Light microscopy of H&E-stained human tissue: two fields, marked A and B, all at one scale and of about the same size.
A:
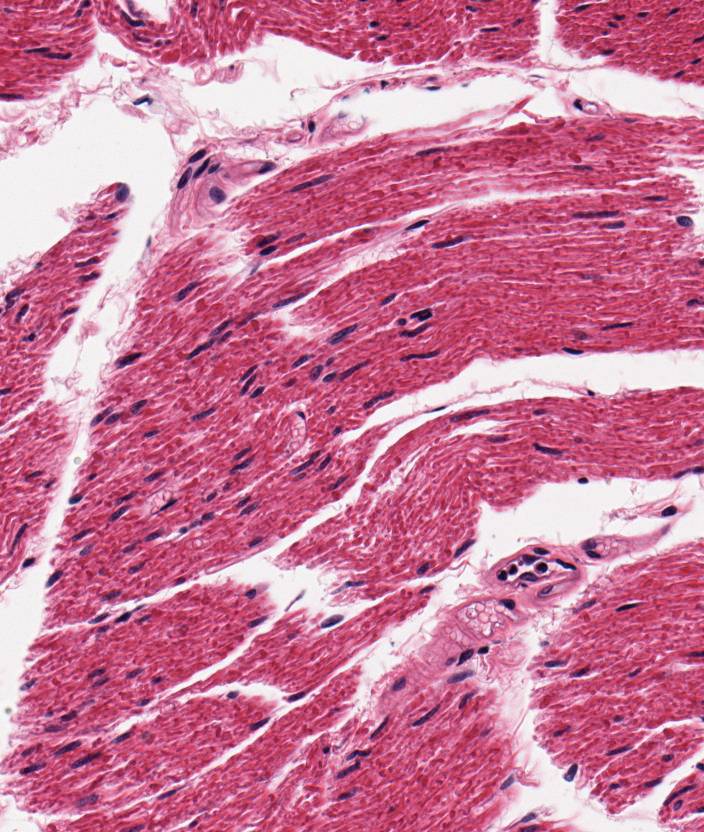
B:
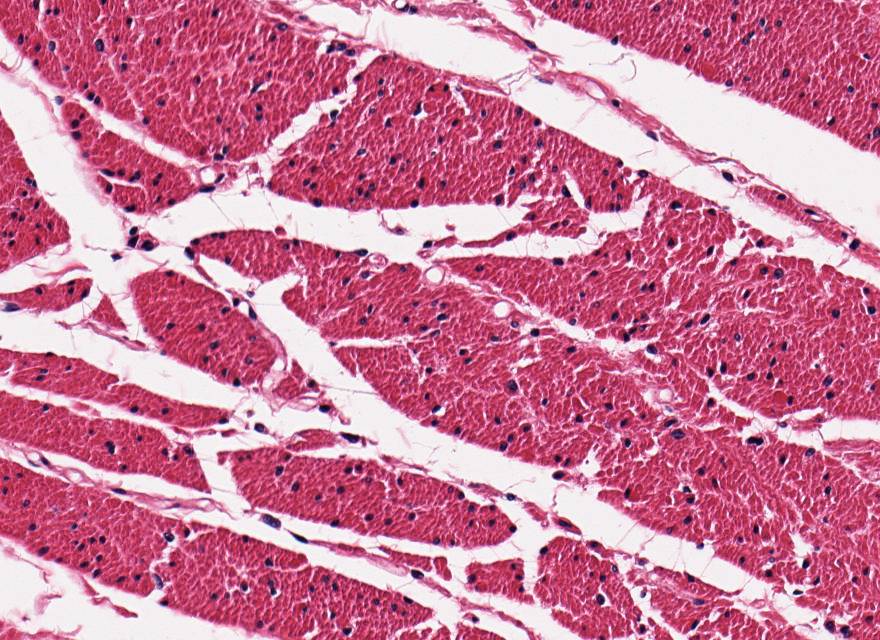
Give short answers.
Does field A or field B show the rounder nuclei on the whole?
B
